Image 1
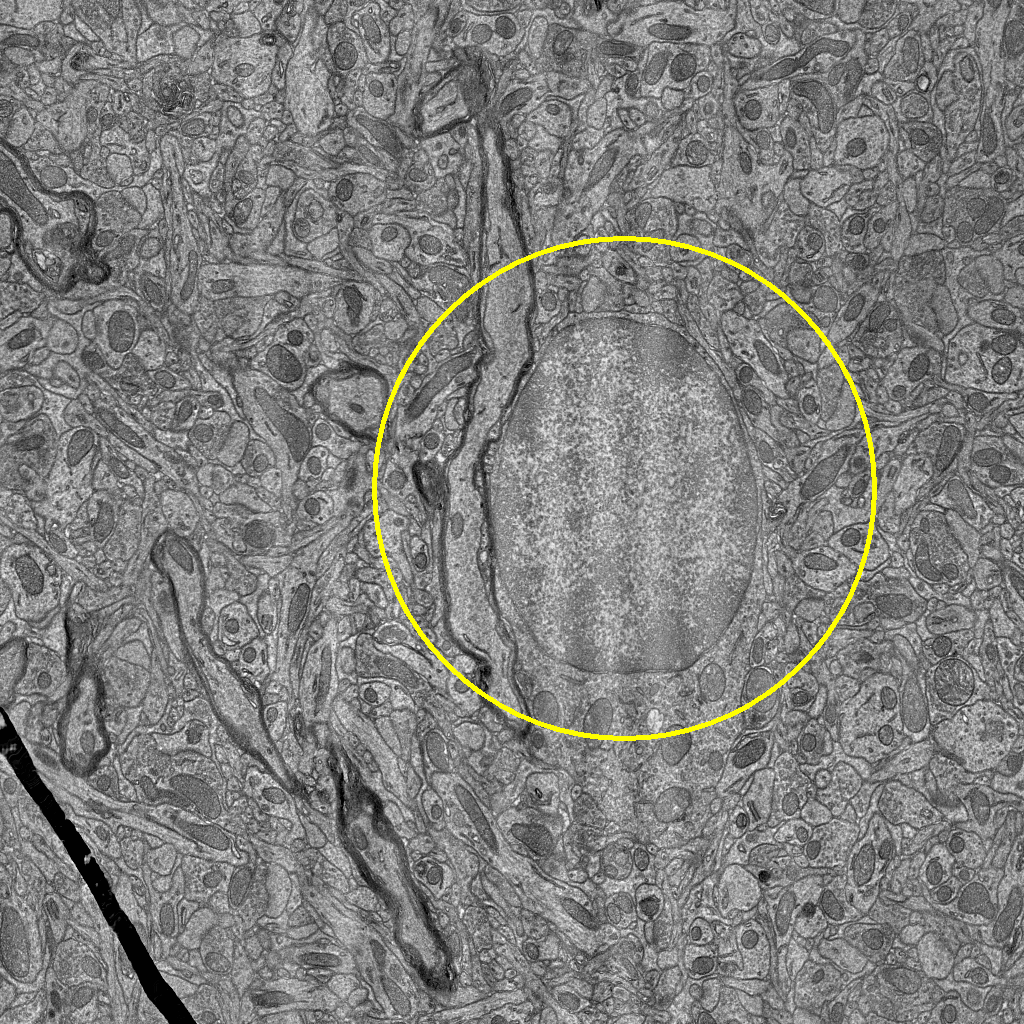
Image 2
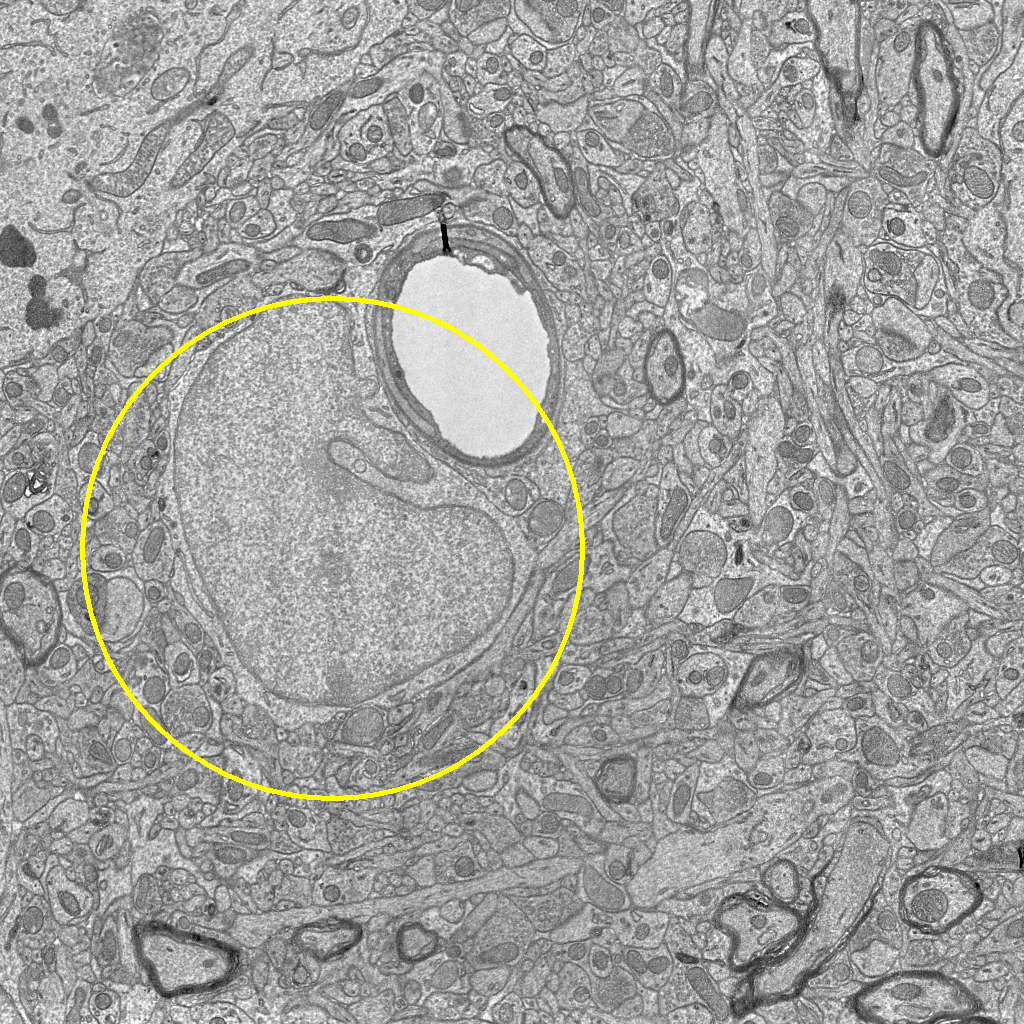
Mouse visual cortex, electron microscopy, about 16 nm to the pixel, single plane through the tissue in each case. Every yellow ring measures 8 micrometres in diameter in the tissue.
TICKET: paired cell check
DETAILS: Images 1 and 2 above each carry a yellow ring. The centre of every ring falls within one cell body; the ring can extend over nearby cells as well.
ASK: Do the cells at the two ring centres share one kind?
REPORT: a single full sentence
No, the cells at the ring centres of Images 1 and 2 belong to two kinds.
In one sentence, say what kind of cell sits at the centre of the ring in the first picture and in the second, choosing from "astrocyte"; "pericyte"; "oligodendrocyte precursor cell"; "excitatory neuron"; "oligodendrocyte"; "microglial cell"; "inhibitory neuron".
The cell at the centre of the ring is an oligodendrocyte in the first picture and an oligodendrocyte precursor cell in the second.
